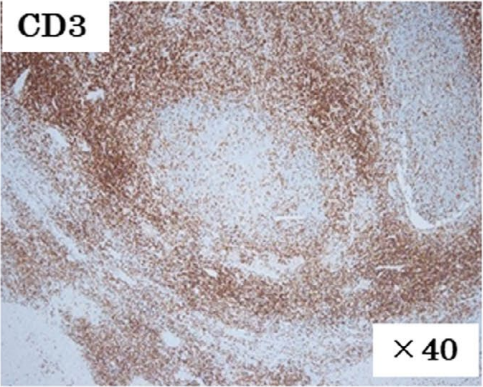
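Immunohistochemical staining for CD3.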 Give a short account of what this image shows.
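This low-power view shows lymphoid tissue in which the interfollicular area is crowded with brown-stained cells. In the middle sits a rounded follicle that is mostly pale, with only scattered brown cells inside it. The brown cells wrap around the follicle in a broad band and spread through the tissue between follicles, while another pale follicle lies at the right.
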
